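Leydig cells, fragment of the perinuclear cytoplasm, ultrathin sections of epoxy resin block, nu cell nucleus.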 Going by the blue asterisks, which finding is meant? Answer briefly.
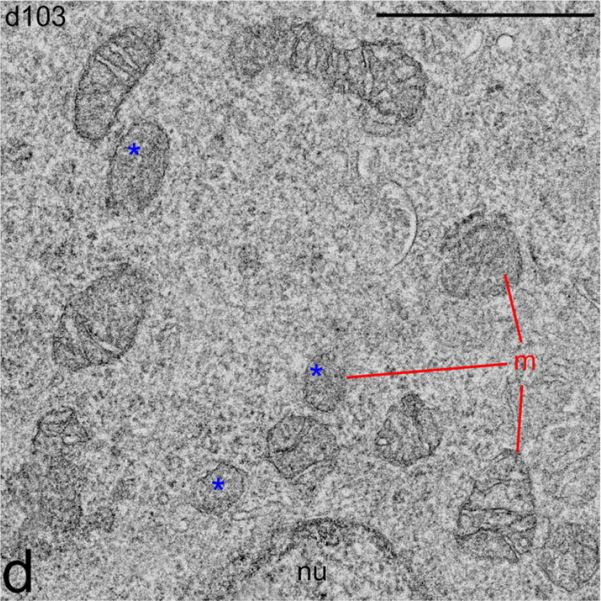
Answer: Absence of mitochondrial cristae.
